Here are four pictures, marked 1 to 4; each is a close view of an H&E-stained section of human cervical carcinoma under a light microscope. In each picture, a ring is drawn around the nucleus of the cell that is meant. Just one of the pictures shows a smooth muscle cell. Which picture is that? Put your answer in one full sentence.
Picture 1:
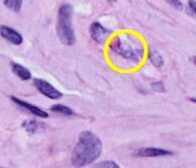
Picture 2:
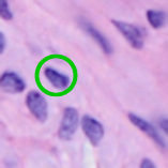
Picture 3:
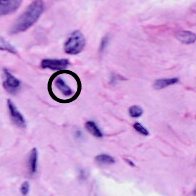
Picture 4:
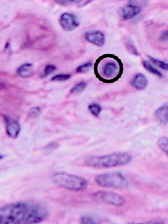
It is picture 4 that shows the smooth muscle cell.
